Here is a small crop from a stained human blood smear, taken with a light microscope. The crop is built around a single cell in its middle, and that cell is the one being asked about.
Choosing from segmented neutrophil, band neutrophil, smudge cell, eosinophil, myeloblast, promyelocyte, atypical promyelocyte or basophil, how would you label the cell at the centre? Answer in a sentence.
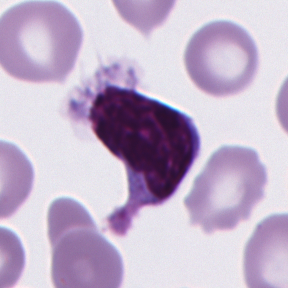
This particular crop is centered on a myeloblast.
